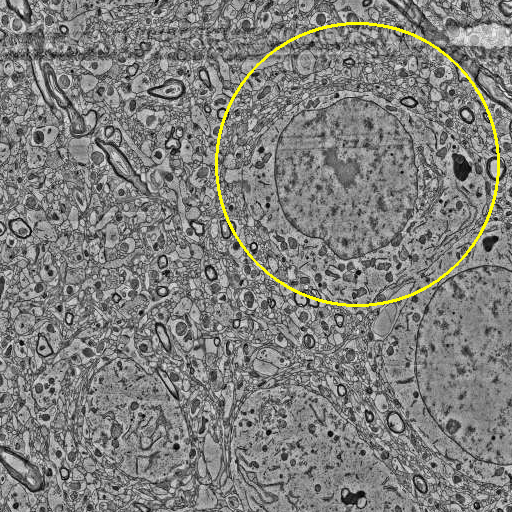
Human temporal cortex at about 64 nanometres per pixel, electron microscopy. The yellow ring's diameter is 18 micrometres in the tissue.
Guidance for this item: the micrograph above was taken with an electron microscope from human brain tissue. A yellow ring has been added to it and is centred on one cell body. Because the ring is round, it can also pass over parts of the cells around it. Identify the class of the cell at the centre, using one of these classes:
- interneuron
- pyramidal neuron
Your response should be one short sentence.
The ring surrounds the body of an interneuron.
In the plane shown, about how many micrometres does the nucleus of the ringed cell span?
Approximately 10 micrometres across in this plane.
